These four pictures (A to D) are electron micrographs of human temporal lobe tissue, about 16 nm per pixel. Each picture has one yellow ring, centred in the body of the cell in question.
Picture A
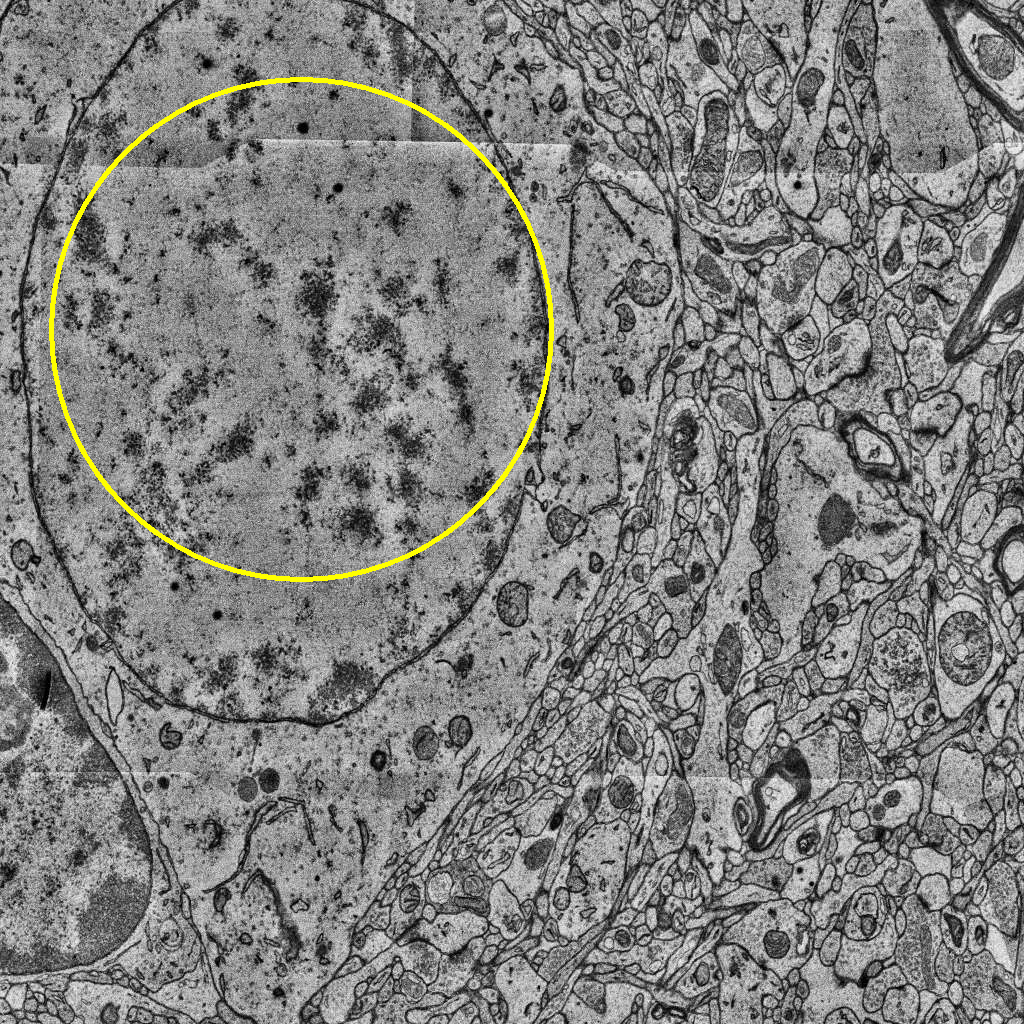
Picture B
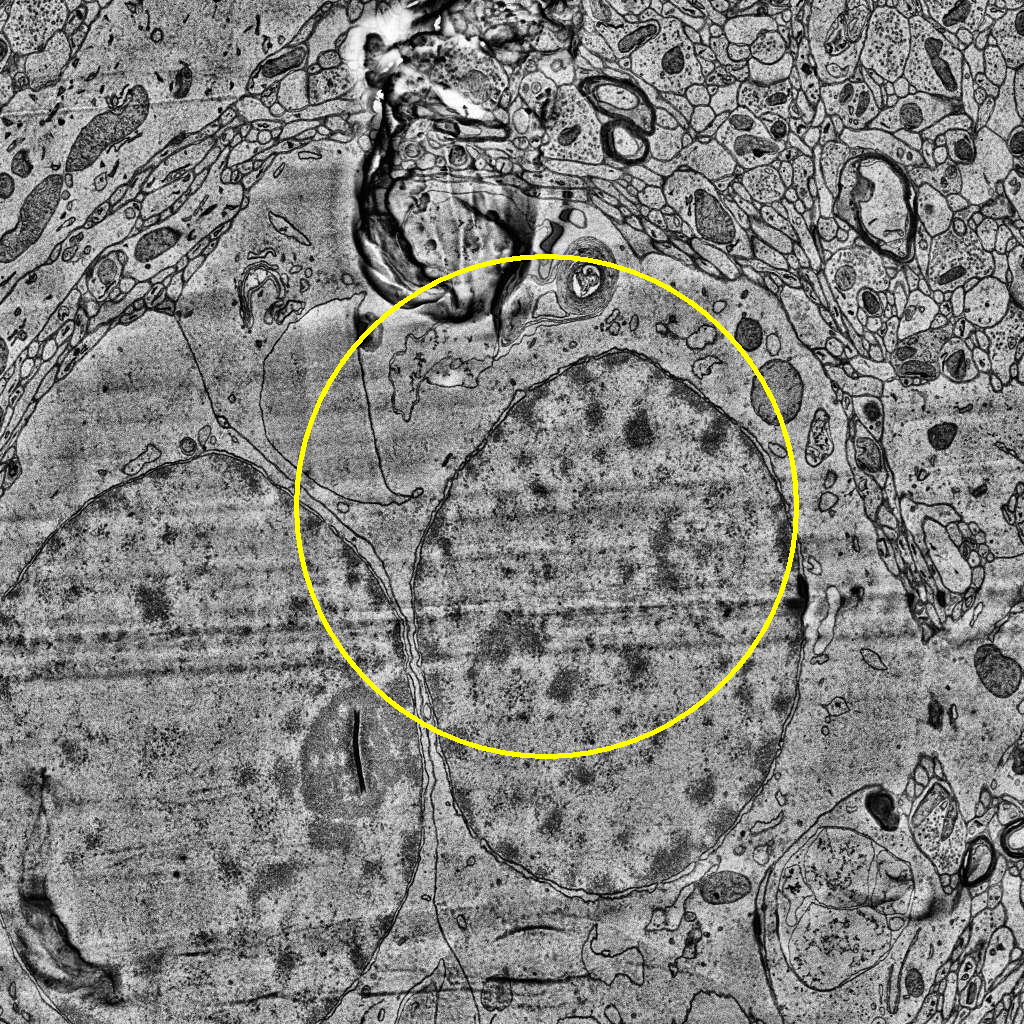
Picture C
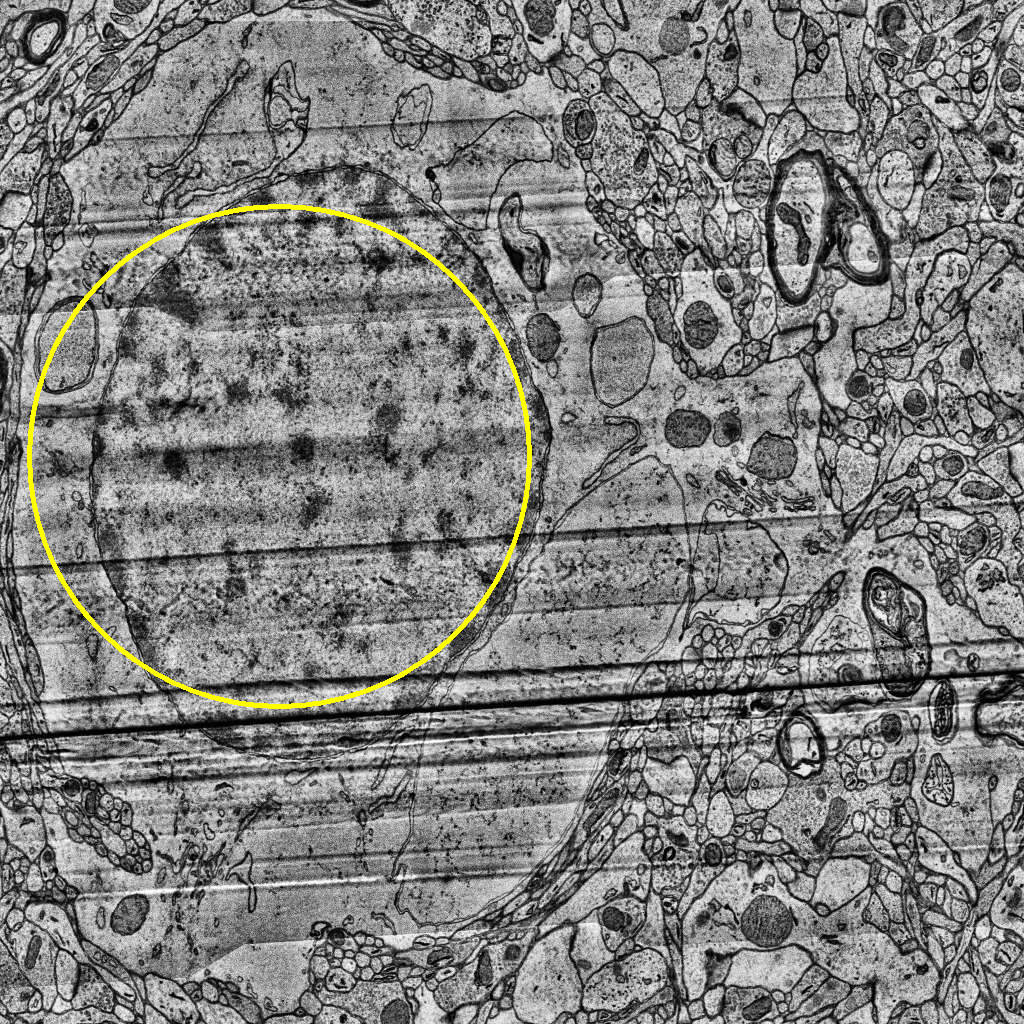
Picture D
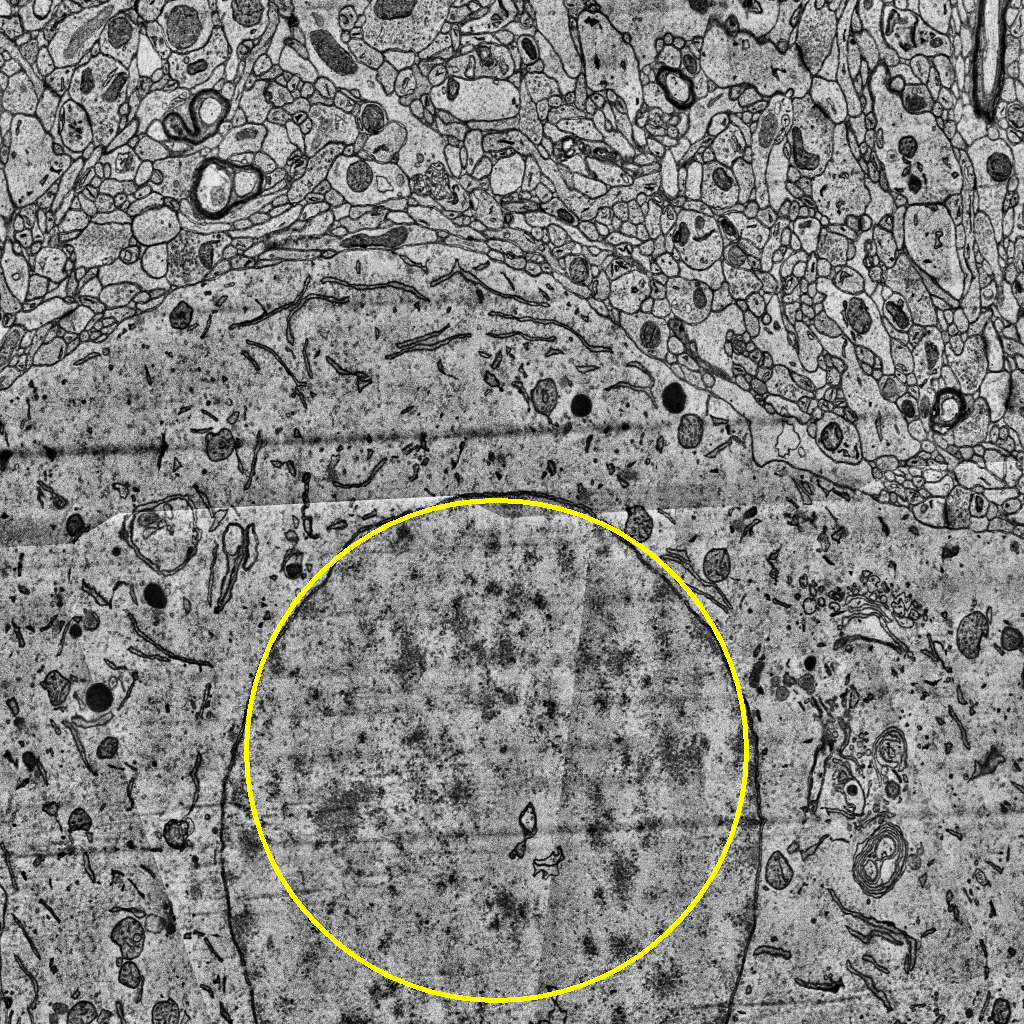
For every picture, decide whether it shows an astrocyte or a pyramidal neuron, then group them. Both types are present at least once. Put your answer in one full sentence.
Pictures B and C show astrocytes, while pictures A and D show pyramidal neurons.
